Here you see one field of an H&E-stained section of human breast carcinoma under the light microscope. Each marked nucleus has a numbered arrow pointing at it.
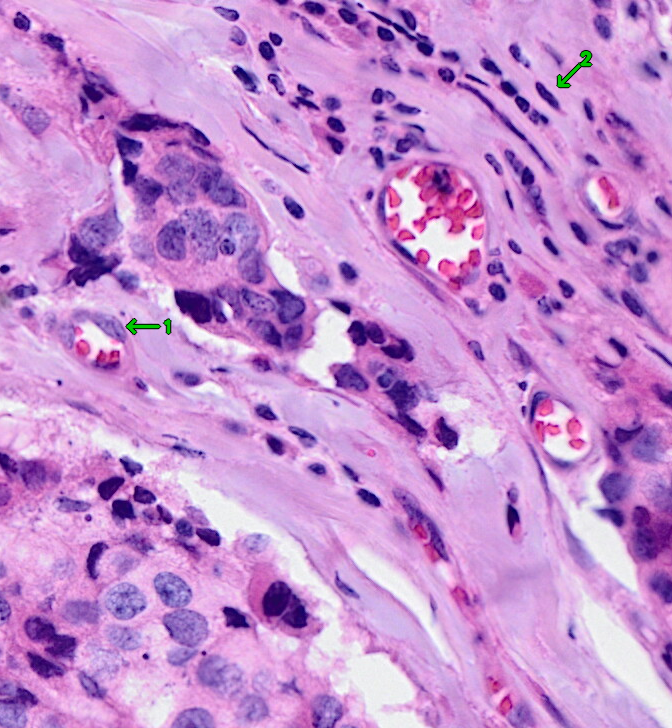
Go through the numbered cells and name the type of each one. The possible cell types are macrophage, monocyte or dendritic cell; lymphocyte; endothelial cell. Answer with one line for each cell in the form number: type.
1: endothelial cell
2: lymphocyte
